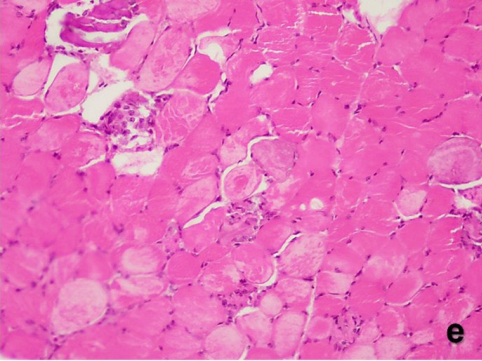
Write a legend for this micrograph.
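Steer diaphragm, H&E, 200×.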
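Several fibers scattered through the field are paler, swollen and rounded, with a granular, flocculent cytoplasm, consistent with degeneration and necrosis. Some of these altered fibers contain small clusters of mononuclear cells such as macrophages. Clefts separate some fibers, especially toward the upper left.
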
